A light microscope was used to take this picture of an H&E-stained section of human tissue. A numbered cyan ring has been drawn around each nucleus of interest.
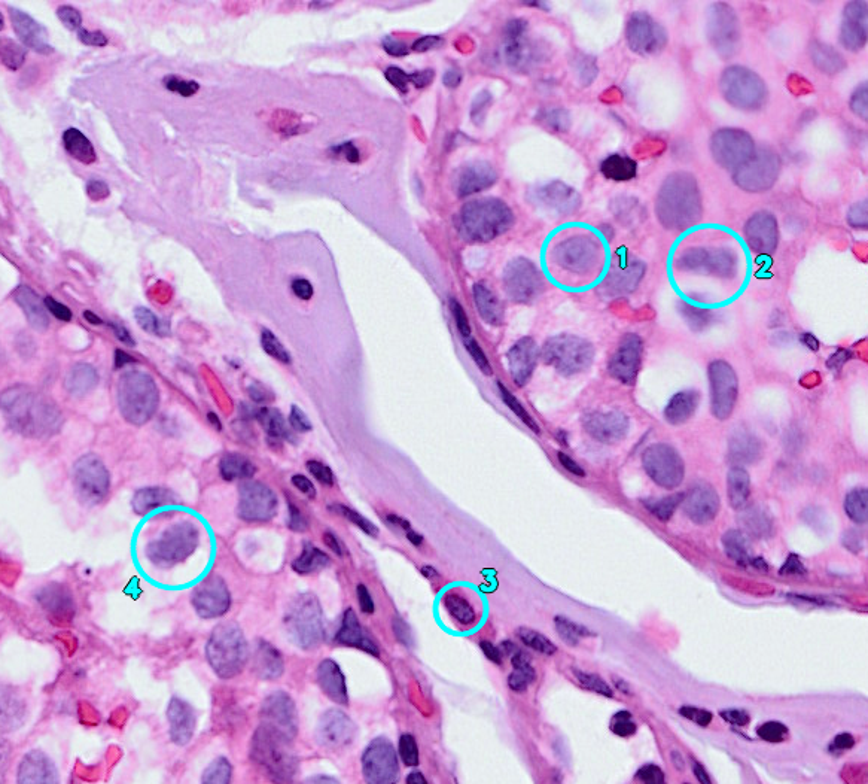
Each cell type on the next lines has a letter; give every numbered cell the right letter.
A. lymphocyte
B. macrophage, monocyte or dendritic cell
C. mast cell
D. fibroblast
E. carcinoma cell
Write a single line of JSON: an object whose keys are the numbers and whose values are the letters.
{"1": "E", "2": "E", "3": "C", "4": "E"}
